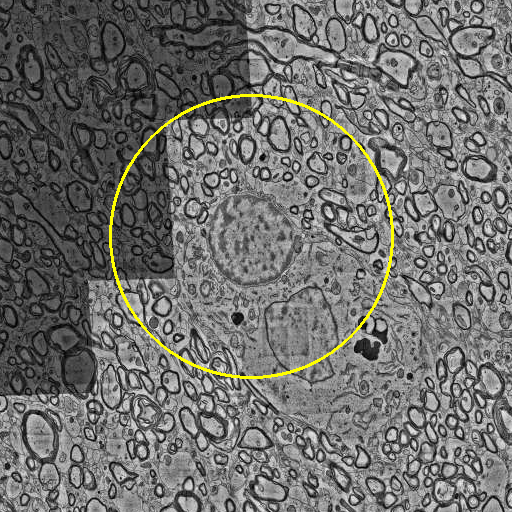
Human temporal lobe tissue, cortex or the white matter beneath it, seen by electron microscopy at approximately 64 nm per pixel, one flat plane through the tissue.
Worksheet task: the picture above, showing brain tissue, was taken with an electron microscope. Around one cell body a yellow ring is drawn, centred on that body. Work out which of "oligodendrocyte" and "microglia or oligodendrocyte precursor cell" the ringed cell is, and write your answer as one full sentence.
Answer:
It is an oligodendrocyte whose cell body lies at the centre of the yellow ring.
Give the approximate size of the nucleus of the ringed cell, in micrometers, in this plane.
The nucleus appears about 6 micrometres across in this plane.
